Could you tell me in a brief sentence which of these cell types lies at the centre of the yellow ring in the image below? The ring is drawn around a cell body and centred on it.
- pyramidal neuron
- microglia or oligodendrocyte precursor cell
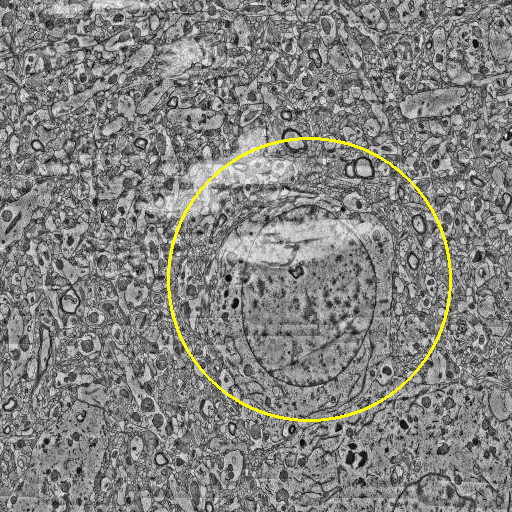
The cell centred in the ring is a pyramidal neuron.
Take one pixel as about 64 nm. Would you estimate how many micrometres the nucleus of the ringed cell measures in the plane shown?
In this plane the nucleus spans approximately 12 by 9 micrometers.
